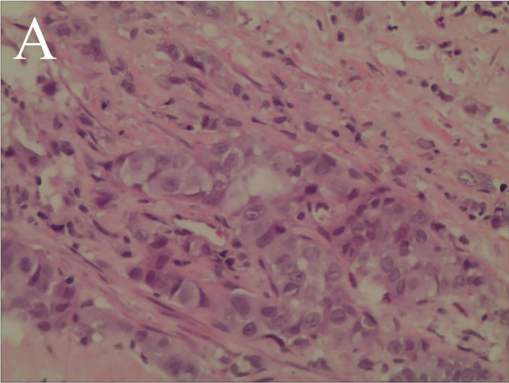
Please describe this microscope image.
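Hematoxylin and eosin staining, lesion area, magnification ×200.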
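Neoplastic cells lie in rounded nests and clusters set in a pink fibrous stroma that carries small spindle-shaped nuclei. The tumor cells are larger than the stromal cells, with rounded nuclei and pale pink cytoplasm, and small clear spaces open among some of the clusters.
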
